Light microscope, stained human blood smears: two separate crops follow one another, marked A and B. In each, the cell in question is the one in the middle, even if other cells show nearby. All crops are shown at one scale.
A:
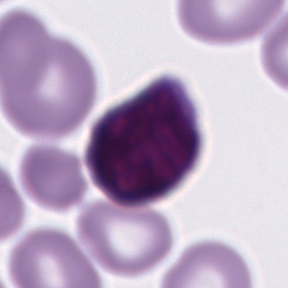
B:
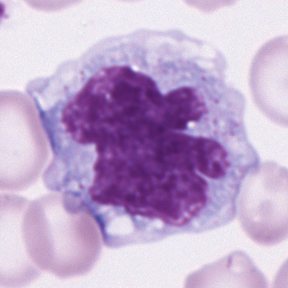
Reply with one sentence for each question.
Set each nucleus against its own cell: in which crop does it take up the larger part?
Of the two, the nucleus in crop A makes up the greater part of its cell.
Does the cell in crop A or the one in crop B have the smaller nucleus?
It is the nucleus in crop A; the one in crop B has about 2 times its area.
